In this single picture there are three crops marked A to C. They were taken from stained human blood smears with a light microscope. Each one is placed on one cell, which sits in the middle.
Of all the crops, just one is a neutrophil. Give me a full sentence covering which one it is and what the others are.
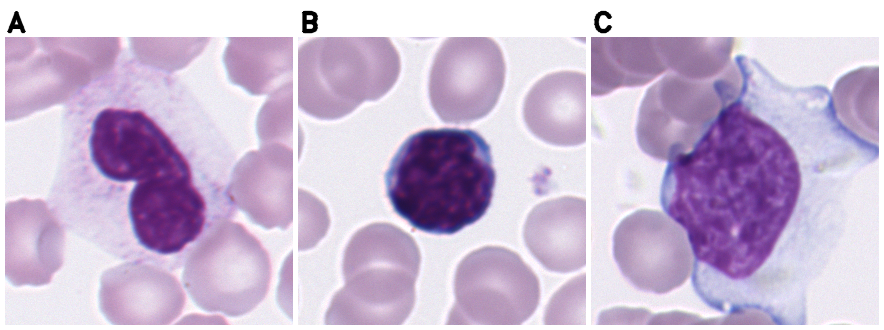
As for the set, crop A shows a neutrophil, while crop B is a lymphocyte and crop C is a blast.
